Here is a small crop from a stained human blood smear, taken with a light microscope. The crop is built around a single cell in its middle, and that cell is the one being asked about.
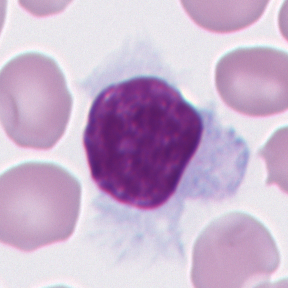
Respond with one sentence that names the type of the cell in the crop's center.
Classified as a hairy cell is the cell in the middle of this crop.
